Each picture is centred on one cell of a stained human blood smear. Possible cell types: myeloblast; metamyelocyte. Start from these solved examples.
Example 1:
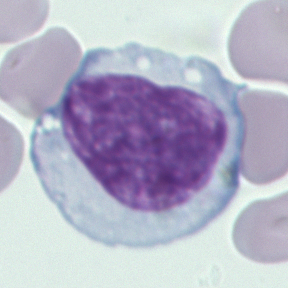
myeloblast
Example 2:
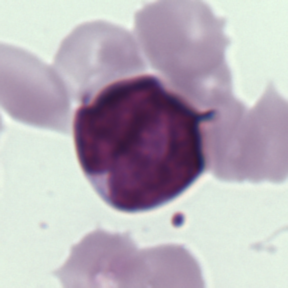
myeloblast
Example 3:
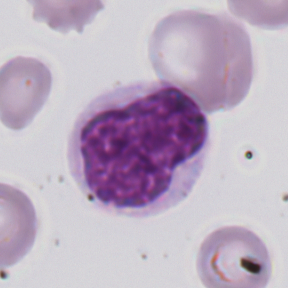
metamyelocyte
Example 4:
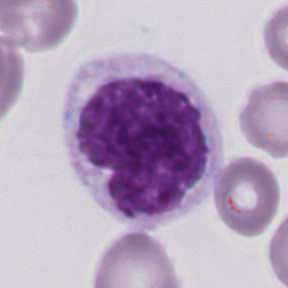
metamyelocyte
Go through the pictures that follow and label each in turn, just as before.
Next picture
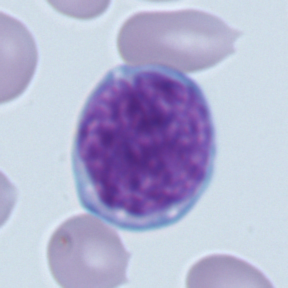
myeloblast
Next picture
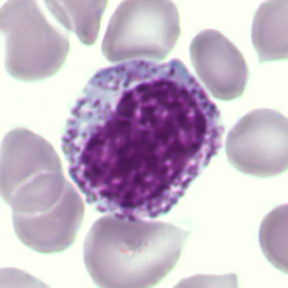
metamyelocyte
